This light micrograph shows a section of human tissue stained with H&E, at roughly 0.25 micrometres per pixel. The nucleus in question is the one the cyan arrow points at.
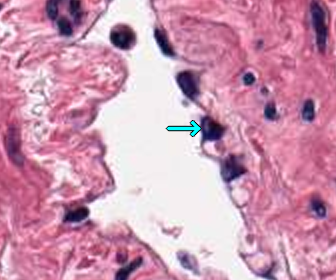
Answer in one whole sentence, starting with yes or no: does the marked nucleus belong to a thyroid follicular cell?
No, it is not a thyroid follicular cell but a supporting cell to which the marked nucleus is assigned.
